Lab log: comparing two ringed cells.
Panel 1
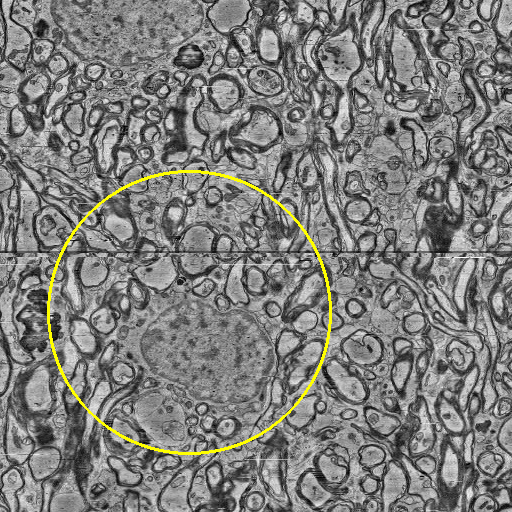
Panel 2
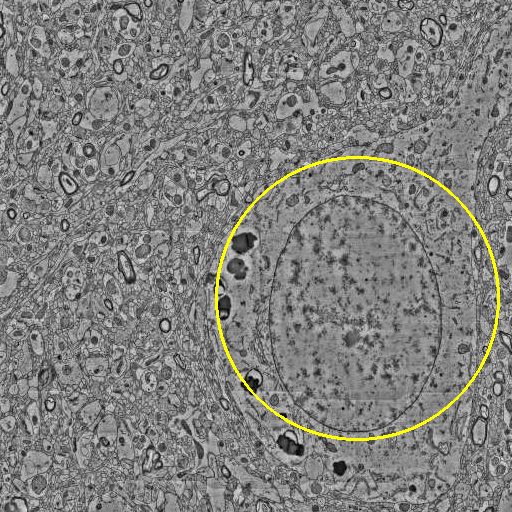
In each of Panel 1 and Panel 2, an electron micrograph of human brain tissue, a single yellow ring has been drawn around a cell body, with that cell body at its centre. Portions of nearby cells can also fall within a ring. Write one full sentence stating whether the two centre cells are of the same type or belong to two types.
The cells at the ring centres in Panel 1 and Panel 2 belong to two types.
